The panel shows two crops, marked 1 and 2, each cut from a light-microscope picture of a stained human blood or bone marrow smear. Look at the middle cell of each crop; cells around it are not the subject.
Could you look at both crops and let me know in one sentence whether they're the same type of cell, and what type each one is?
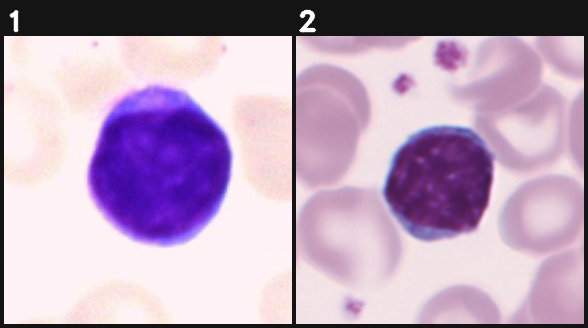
Yes, the cells centred in the two crops are both lymphocytes.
